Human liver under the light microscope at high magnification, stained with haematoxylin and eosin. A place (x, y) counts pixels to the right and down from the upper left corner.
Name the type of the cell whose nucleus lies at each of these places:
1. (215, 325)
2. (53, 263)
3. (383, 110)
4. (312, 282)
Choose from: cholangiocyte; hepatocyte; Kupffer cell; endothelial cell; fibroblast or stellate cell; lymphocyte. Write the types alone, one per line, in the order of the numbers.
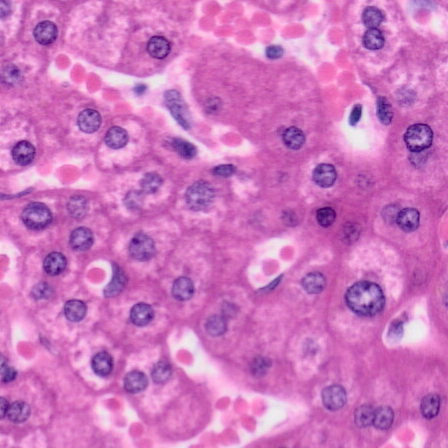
hepatocyte
hepatocyte
fibroblast or stellate cell
hepatocyte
